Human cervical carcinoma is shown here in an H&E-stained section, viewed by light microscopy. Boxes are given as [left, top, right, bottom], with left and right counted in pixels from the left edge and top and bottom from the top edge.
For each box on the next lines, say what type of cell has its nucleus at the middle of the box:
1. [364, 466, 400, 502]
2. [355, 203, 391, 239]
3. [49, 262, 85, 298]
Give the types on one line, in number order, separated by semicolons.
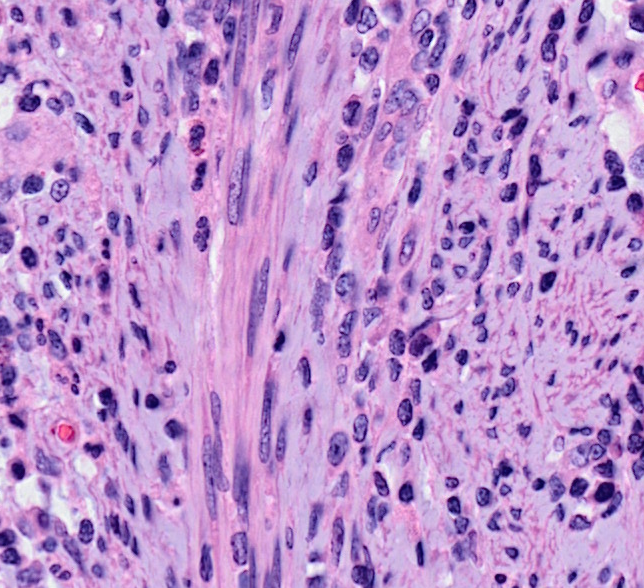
lymphocyte; endothelial cell; lymphocyte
